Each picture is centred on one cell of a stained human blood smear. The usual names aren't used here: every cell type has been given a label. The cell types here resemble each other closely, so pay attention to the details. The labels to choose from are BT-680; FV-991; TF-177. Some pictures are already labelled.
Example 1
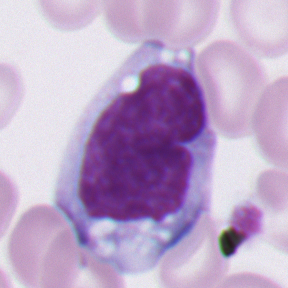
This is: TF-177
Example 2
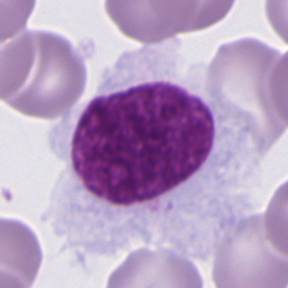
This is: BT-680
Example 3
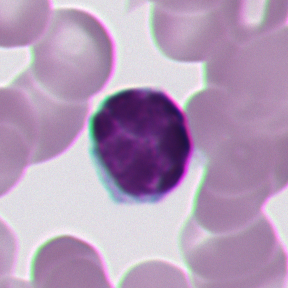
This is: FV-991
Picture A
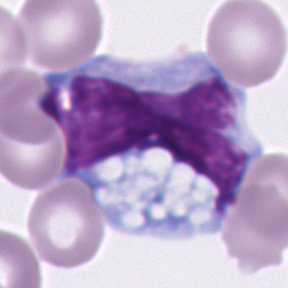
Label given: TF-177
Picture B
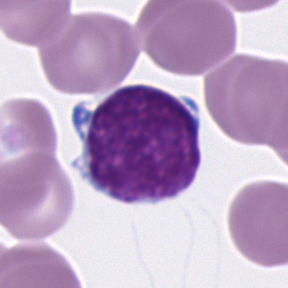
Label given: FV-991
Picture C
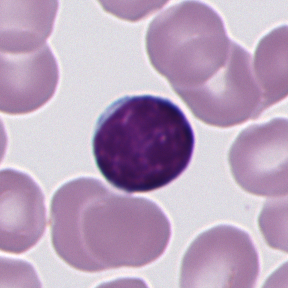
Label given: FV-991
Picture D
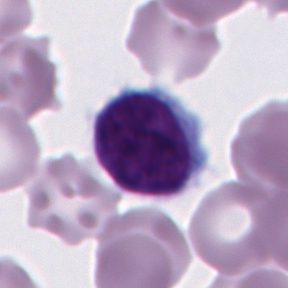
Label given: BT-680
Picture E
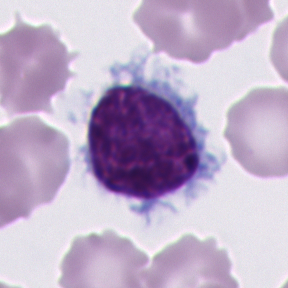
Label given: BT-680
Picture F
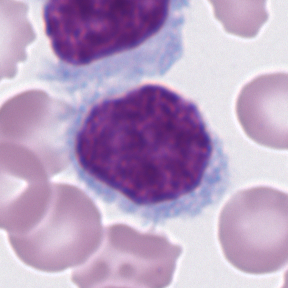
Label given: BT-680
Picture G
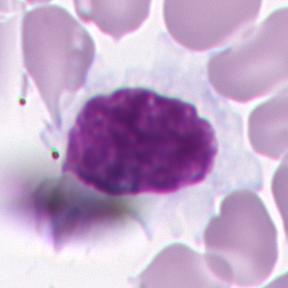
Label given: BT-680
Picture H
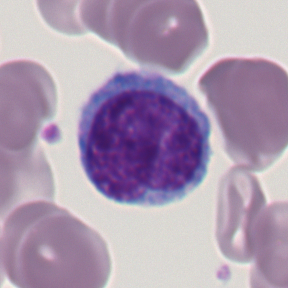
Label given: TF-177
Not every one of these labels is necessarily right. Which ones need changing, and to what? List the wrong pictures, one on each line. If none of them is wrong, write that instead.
All labels are correct.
